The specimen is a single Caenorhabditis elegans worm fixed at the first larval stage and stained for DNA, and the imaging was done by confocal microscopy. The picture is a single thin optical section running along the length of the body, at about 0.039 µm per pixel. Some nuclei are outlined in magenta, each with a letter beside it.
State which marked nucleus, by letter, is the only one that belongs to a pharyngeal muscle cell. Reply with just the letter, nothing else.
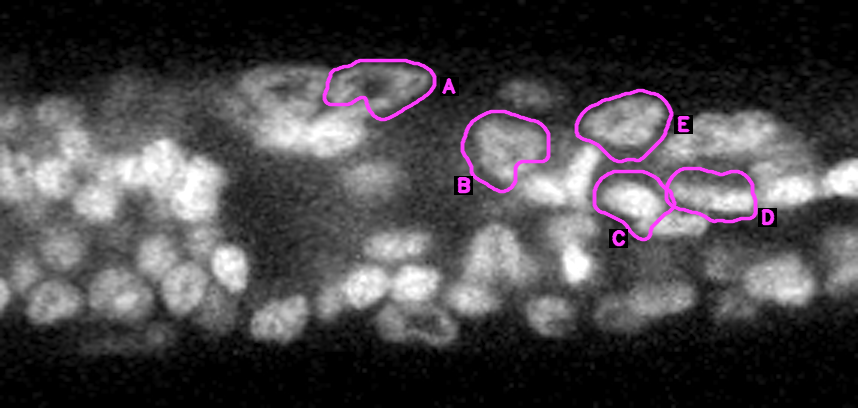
B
